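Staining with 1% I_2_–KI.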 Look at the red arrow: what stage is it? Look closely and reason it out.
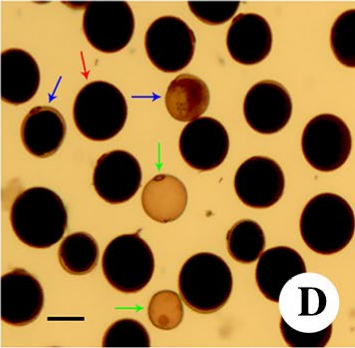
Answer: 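The grain the red arrow points to is round and full-sized. It is stained evenly black throughout. The answer: normal pollen.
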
